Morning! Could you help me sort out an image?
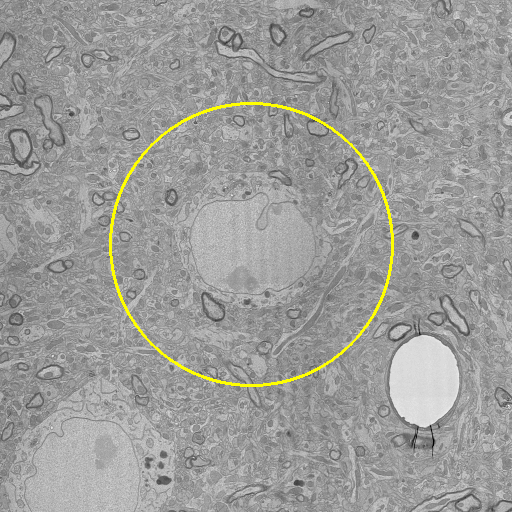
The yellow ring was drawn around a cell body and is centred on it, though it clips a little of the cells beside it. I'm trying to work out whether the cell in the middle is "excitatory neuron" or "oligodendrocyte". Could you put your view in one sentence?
The ringed cell body is that of an excitatory neuron.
